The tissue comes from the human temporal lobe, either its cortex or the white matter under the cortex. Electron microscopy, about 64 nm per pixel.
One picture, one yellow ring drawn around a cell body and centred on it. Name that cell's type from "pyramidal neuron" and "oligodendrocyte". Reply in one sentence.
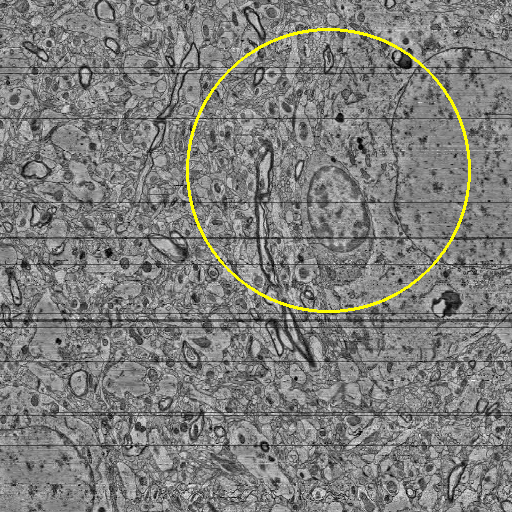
Centred in the ring is an oligodendrocyte.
